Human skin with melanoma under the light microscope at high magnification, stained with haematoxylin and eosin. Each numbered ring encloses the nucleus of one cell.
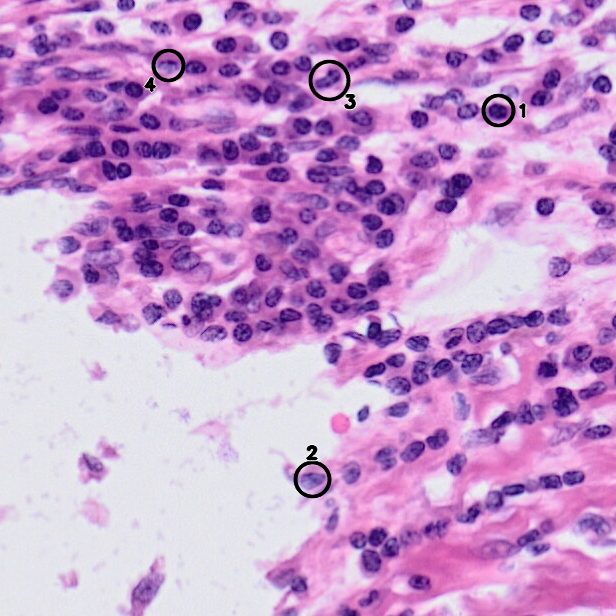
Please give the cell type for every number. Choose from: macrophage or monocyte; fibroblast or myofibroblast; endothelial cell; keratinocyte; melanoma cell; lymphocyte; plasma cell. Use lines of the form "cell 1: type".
cell 1: plasma cell
cell 2: lymphocyte
cell 3: plasma cell
cell 4: plasma cell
